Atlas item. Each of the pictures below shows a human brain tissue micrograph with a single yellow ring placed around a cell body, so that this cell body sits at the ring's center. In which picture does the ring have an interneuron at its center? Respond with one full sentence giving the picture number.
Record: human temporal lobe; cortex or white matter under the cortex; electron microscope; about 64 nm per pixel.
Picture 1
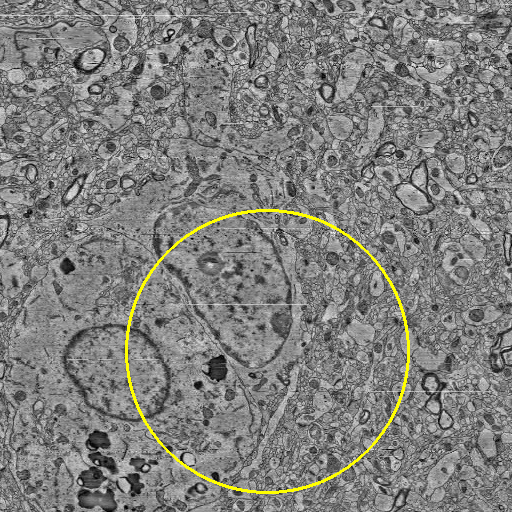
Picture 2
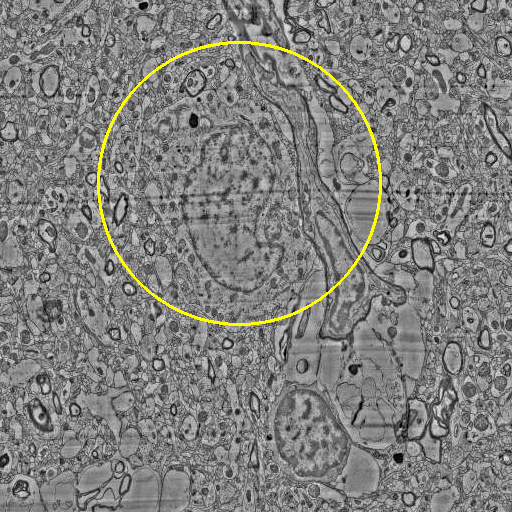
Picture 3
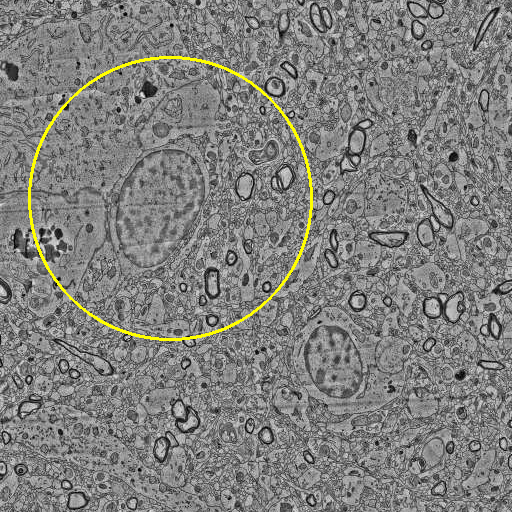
The cell at the ring's center that fits lies in picture 2.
